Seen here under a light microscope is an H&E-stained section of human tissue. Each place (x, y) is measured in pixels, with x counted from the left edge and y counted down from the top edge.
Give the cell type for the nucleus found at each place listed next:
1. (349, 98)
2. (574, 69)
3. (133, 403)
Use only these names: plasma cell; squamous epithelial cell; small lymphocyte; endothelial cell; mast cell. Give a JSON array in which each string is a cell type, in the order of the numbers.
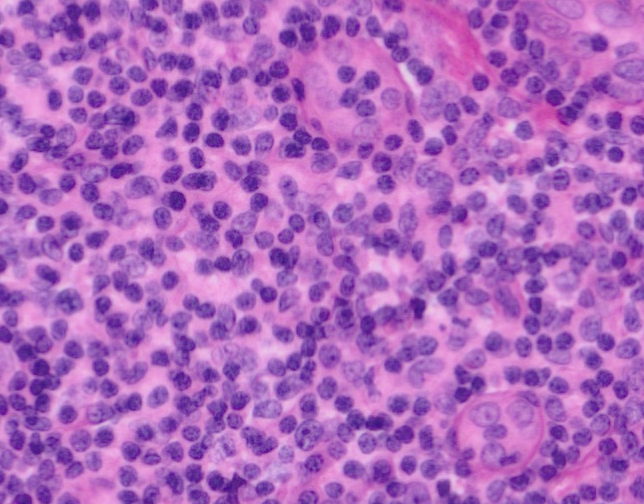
["endothelial cell", "endothelial cell", "small lymphocyte"]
